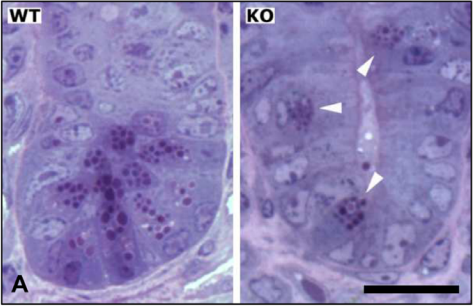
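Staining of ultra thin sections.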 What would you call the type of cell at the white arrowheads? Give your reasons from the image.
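These cells hold clusters of dark purple round granules in their cytoplasm. So: Paneth cells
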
